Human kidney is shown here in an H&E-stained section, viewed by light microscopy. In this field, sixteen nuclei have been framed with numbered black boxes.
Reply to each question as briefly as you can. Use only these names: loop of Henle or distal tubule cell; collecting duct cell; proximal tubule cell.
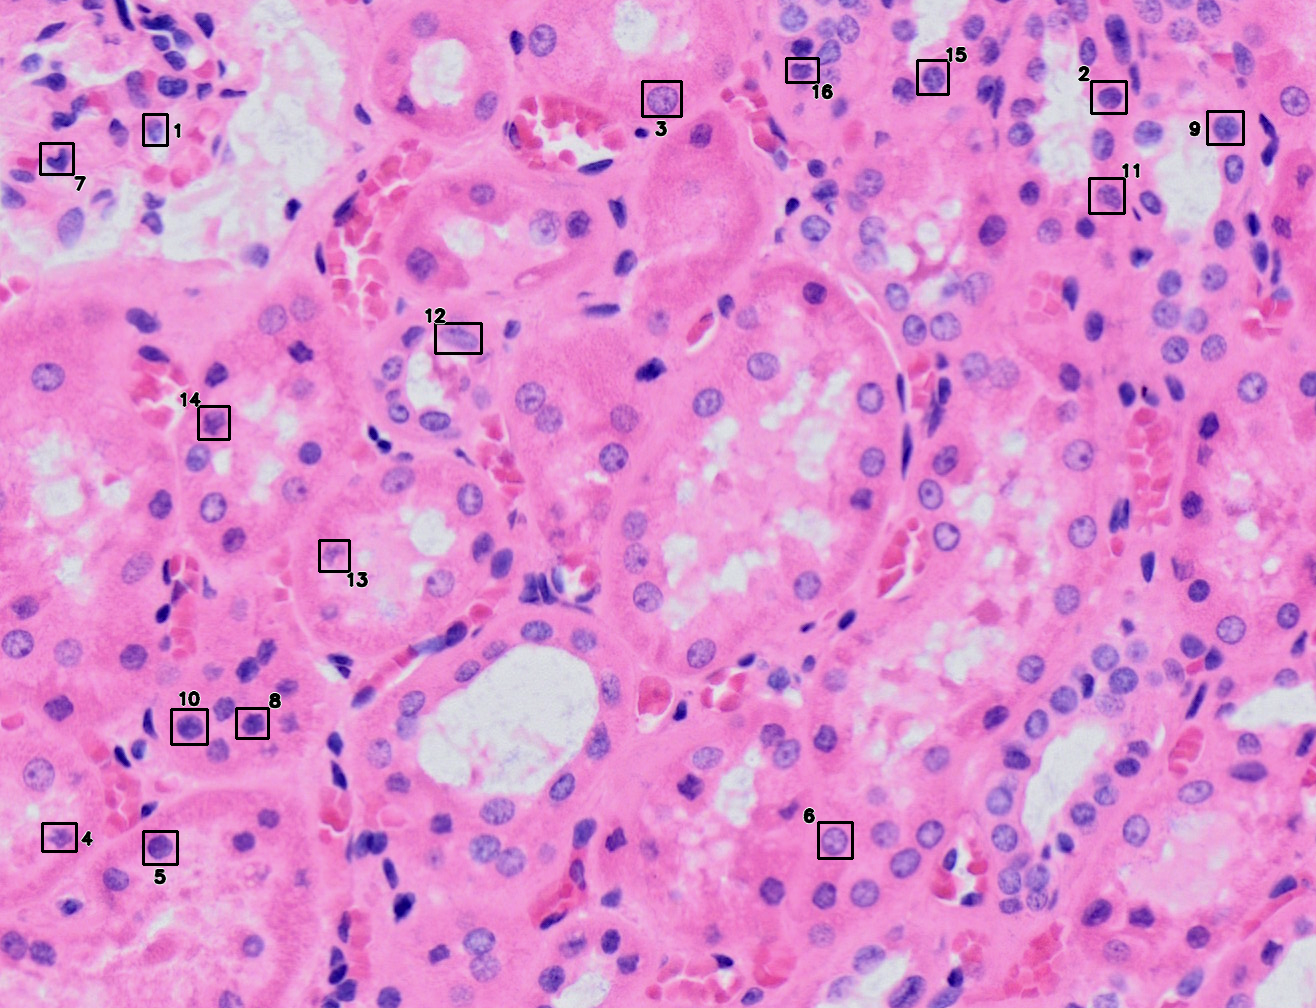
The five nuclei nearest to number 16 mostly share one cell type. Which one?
collecting duct cell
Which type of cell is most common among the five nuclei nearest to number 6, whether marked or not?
proximal tubule cell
